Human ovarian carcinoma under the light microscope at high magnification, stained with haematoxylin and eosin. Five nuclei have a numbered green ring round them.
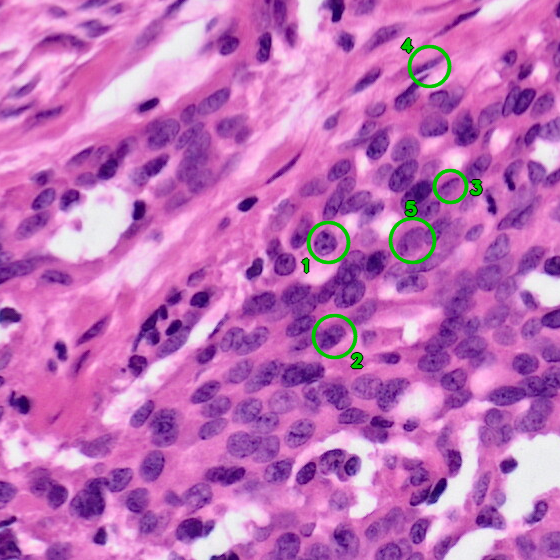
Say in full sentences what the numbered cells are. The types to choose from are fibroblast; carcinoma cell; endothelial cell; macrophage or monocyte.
Cell 1 is a macrophage or monocyte. Cells 2, 3 and 5 are carcinoma cells. Cell 4 is a fibroblast.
